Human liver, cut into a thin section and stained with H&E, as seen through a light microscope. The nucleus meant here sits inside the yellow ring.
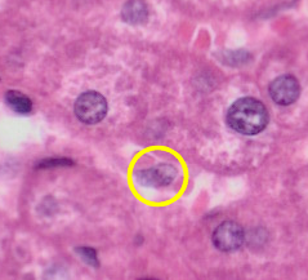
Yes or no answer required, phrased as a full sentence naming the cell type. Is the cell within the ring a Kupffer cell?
Yes, identifying the cell within the ring as a Kupffer cell is right.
